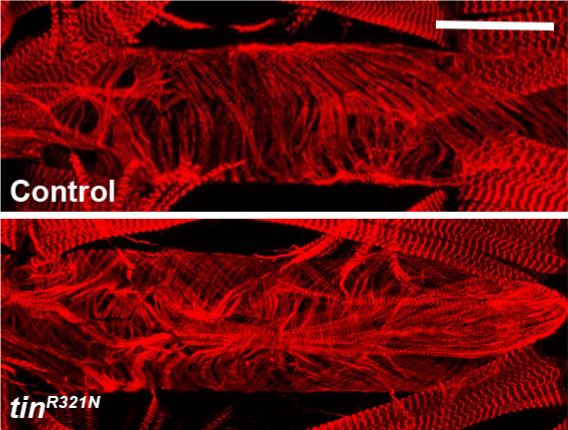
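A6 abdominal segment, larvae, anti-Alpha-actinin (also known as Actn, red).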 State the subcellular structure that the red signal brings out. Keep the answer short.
cardiac myofibrils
